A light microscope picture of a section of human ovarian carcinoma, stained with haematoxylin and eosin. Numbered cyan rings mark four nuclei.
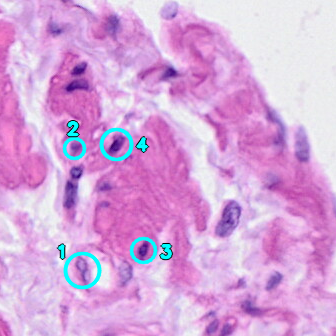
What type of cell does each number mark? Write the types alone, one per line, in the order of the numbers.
endothelial cell
smooth muscle cell
smooth muscle cell
smooth muscle cell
